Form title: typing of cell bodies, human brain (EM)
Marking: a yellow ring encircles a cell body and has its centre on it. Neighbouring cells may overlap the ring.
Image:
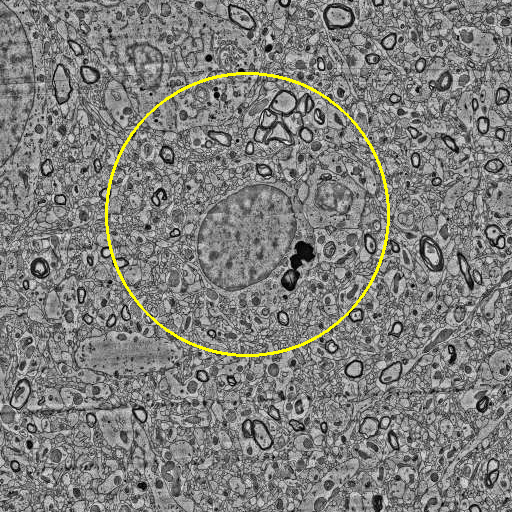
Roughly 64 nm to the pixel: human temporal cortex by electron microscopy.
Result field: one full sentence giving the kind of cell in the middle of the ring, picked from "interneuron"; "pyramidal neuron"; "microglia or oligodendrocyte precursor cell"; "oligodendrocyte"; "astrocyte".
In the picture, the ring is centred on an oligodendrocyte, whose cell body it encircles.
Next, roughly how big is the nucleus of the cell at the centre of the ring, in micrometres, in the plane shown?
The ringed cell's nucleus measures approximately 7 by 6 micrometres in this plane.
